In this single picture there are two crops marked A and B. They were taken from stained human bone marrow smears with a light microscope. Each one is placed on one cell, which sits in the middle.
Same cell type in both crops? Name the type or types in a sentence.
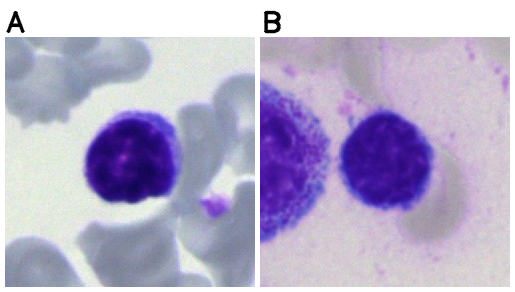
Yes, as an answer for this item, both crops show lymphocytes.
